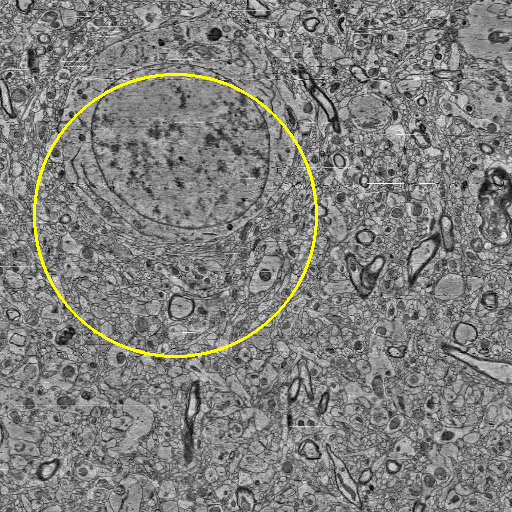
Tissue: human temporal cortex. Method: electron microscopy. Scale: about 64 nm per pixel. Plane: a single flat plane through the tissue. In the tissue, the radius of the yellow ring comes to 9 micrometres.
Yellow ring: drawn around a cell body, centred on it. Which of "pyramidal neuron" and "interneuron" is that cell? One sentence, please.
That cell body is from a pyramidal neuron.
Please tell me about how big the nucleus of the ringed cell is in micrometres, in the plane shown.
In this plane, the nucleus of the cell at the centre of the ring measures about 12 by 11 micrometres.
